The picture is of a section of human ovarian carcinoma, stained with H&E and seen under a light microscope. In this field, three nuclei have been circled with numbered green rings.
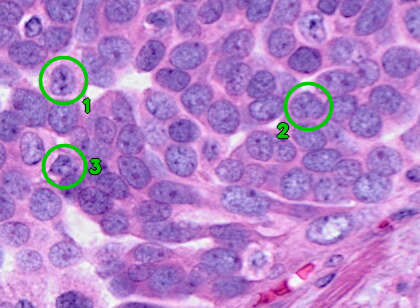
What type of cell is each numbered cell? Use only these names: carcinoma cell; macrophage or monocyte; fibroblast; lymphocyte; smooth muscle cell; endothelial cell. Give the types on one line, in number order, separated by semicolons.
macrophage or monocyte; carcinoma cell; macrophage or monocyte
